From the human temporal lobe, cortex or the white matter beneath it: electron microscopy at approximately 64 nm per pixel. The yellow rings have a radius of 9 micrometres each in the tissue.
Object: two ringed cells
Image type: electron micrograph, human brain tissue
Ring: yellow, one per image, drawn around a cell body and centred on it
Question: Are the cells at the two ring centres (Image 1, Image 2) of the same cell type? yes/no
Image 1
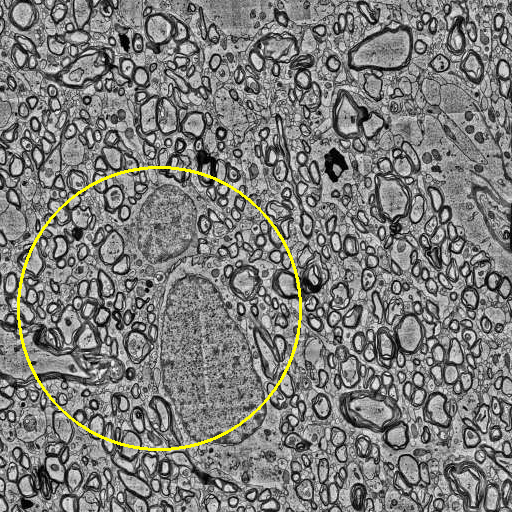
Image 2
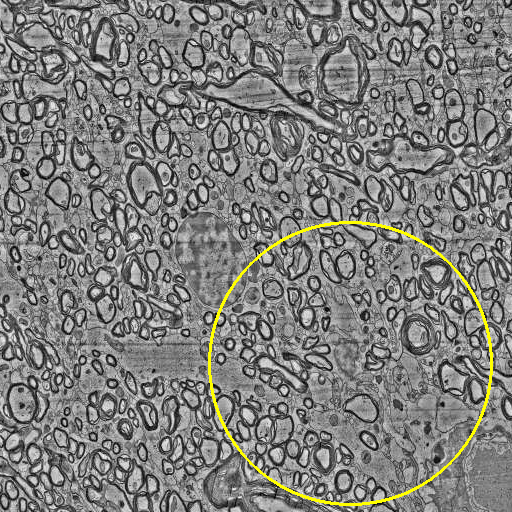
no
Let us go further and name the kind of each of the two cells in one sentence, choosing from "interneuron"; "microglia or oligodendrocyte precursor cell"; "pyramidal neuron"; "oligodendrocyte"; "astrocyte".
The ring of the first picture is on an astrocyte, the ring of the second on an oligodendrocyte.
